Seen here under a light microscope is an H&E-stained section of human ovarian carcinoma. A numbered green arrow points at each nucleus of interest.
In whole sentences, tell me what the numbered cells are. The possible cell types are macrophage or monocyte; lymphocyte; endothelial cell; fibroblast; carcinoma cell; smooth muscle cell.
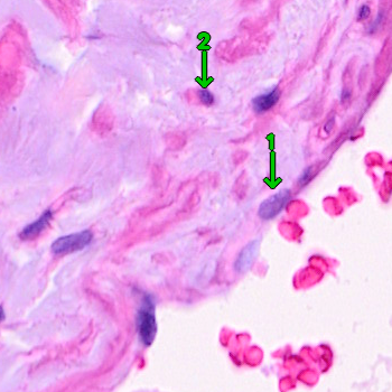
Cell 1 is an endothelial cell and cell 2 is a smooth muscle cell.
